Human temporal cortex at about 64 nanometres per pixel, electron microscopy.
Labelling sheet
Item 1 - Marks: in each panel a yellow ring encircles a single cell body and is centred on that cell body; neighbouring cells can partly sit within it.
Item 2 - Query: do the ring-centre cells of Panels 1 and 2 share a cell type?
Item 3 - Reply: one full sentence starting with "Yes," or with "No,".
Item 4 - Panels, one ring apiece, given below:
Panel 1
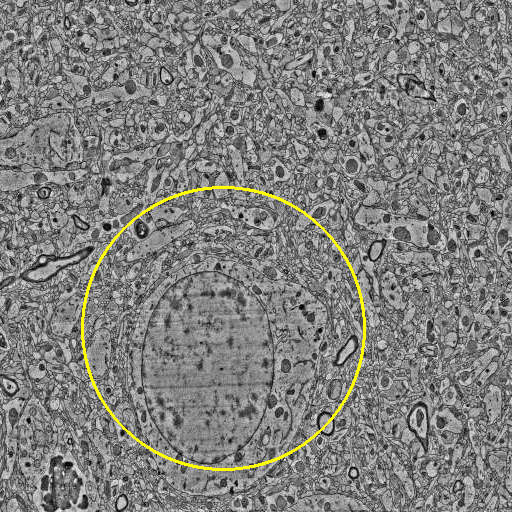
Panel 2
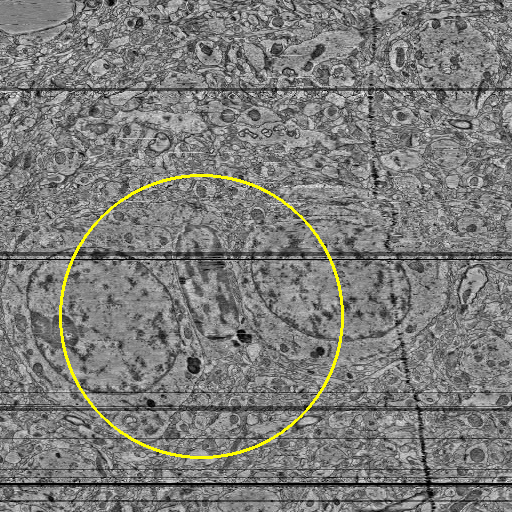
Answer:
No, Panel 1 and Panel 2 show two cell types at the centres of their rings.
